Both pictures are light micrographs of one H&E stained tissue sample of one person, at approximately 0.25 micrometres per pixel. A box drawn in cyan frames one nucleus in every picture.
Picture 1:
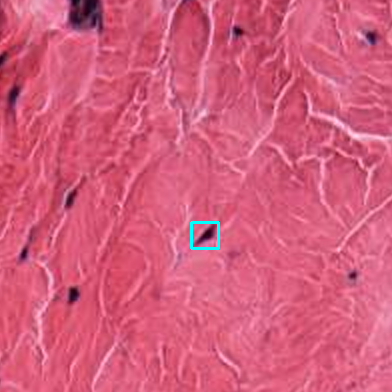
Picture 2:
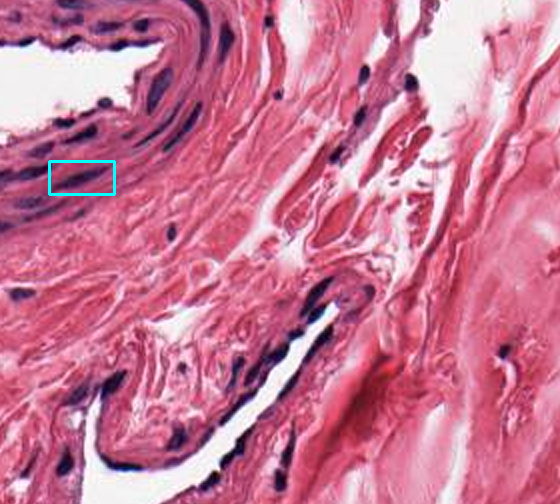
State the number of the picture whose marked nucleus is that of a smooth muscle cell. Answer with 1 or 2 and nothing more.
2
